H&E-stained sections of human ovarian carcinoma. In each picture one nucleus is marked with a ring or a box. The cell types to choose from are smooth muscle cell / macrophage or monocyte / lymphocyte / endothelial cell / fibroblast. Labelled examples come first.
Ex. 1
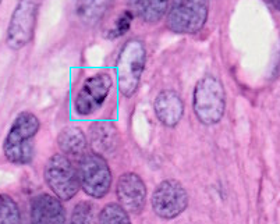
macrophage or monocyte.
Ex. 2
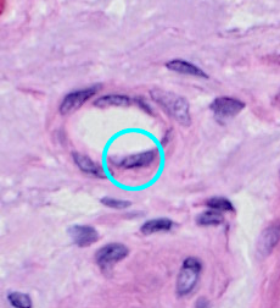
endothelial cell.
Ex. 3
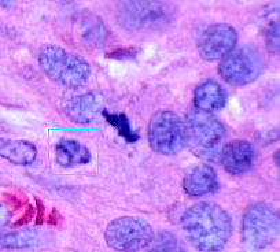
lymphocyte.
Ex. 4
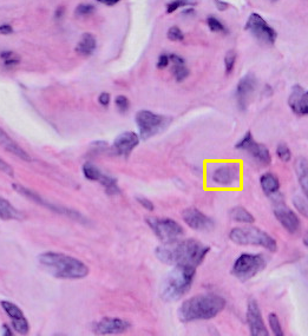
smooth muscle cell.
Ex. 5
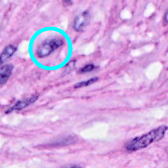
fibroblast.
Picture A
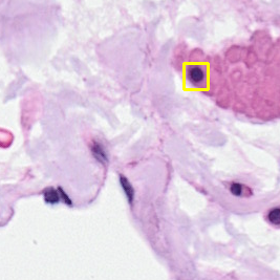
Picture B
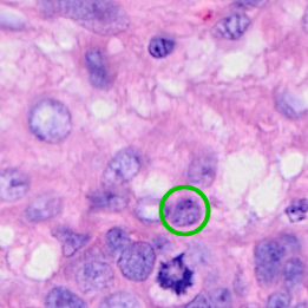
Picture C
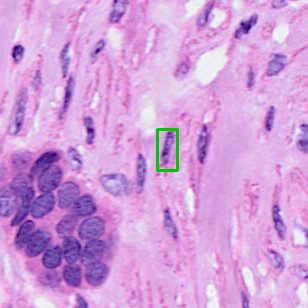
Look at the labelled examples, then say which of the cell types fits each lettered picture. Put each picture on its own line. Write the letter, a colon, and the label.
A: smooth muscle cell.
B: macrophage or monocyte.
C: fibroblast.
